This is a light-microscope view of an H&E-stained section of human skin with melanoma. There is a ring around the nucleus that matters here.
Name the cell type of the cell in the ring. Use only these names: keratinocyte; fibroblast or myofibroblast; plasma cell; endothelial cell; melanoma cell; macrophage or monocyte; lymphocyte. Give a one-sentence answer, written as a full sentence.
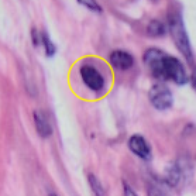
It is as a plasma cell that the cell in the ring is recorded.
